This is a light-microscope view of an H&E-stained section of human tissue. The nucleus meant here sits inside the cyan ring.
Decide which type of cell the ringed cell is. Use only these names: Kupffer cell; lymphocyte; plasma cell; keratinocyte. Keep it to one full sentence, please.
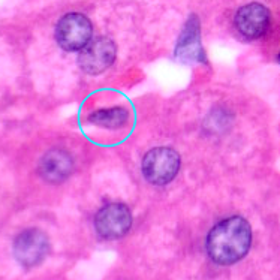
As to its cell type, the ringed cell is a Kupffer cell.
